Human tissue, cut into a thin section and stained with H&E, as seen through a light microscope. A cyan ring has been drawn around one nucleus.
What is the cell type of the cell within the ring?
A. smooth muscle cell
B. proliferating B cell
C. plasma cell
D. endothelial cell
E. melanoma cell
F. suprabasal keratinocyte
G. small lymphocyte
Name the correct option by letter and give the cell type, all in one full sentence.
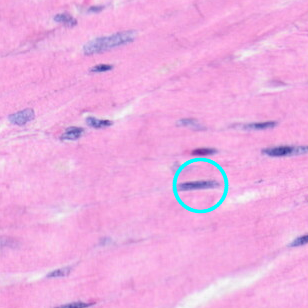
Under option D, the cell within the ring is an endothelial cell, which is the correct identification.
